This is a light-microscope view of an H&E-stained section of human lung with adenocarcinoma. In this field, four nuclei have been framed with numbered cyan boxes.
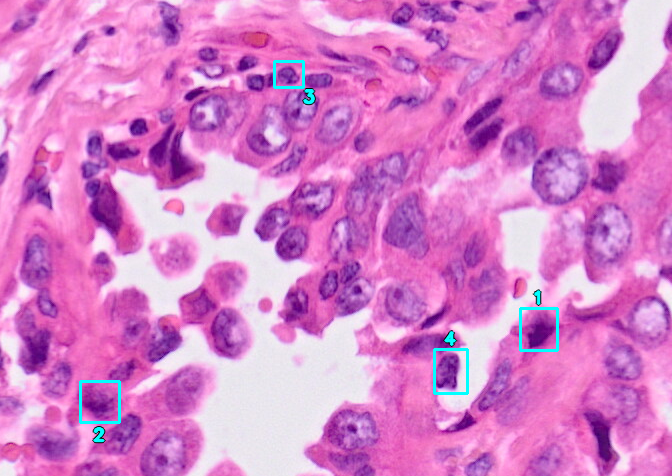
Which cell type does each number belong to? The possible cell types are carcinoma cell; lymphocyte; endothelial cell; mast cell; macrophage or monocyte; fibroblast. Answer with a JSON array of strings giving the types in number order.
["carcinoma cell", "carcinoma cell", "lymphocyte", "carcinoma cell"]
